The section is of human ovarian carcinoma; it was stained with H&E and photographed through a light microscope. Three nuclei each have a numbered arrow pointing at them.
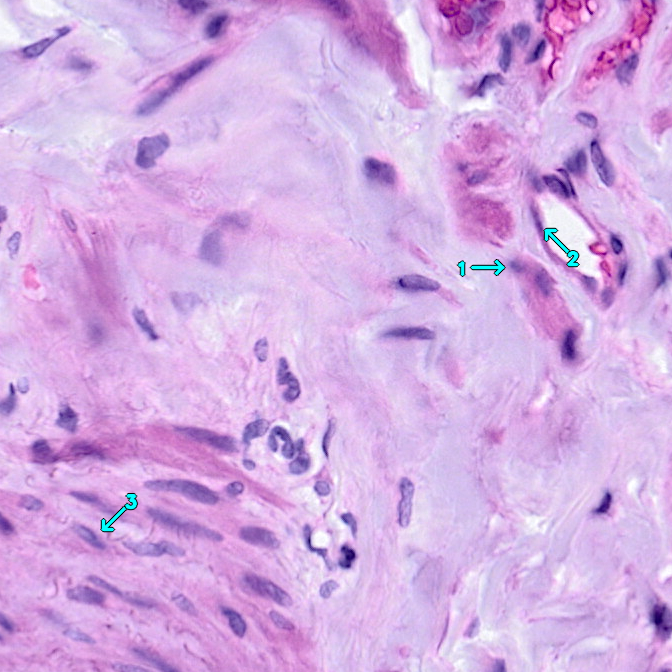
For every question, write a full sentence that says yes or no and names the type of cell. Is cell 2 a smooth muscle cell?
No, number 2 marks an endothelial cell rather than a smooth muscle cell.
